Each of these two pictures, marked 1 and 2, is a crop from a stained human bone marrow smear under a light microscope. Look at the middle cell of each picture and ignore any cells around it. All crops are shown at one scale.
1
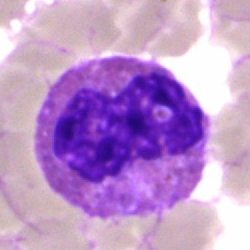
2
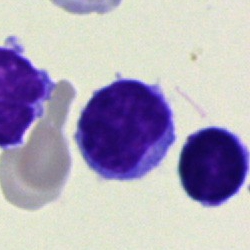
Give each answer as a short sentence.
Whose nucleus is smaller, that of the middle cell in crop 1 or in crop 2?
Crop 2 shows the smaller nucleus, since that in crop 1 covers about 2 times as much area.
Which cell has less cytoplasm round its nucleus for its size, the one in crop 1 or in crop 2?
Of the two, the nucleus in crop 2 makes up the greater part of its cell.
